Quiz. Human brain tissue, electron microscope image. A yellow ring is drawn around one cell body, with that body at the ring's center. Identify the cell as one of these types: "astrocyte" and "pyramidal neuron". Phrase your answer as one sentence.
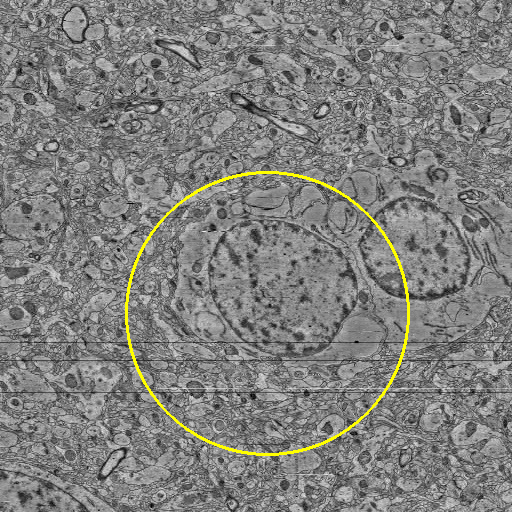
At the center of the ring sits an astrocyte.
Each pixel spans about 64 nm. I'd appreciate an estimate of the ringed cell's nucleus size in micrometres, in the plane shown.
The nucleus comes to roughly 9 micrometres across in this plane.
